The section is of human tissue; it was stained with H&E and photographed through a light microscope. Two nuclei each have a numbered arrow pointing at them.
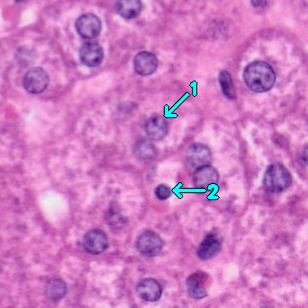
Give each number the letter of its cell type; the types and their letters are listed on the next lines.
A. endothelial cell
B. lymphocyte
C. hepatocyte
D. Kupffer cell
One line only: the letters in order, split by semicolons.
C; B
